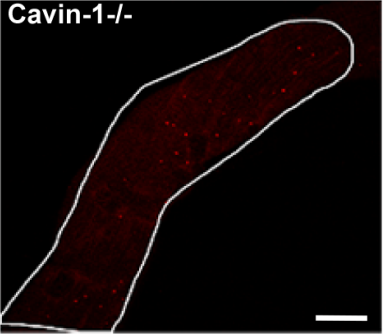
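This fluorescence image shows a single isolated muscle fiber, outlined in white, running diagonally from lower left to upper right with a bend partway along. Faint red fluorescence fills the fiber. Scattered small bright red dots are seen within it, most of all in its upper half. The background outside the outline is dark.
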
